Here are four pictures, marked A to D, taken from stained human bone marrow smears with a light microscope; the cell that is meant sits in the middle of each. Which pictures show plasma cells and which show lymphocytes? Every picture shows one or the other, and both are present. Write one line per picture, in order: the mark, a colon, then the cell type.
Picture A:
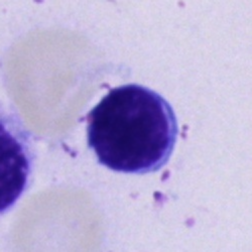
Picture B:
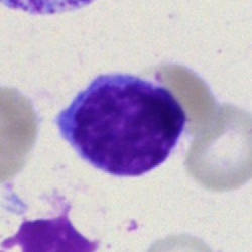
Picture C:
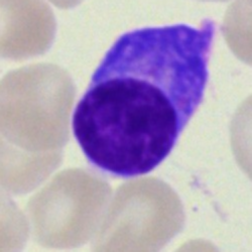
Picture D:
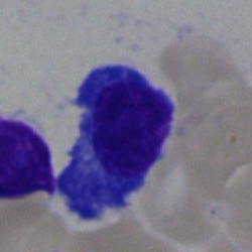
A: lymphocyte
B: lymphocyte
C: plasma cell
D: plasma cell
